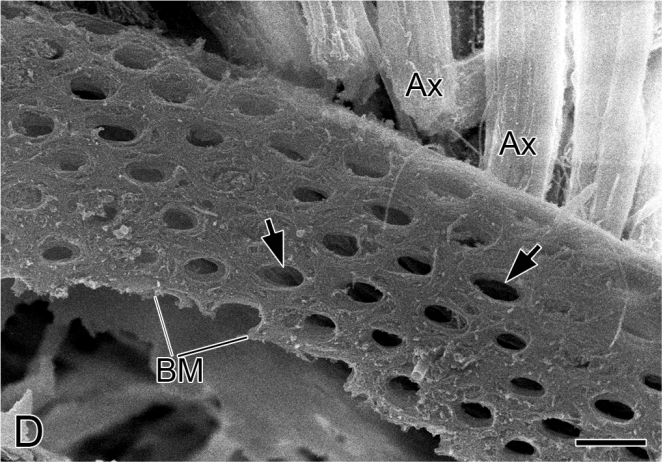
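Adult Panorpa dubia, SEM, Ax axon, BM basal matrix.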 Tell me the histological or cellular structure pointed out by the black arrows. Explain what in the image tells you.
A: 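The arrows point to round holes in a flat sheet. Many such holes are spaced fairly regularly across the sheet. Fibrous bundles rise from the sheet behind it. That points to this answer: round perforations.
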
